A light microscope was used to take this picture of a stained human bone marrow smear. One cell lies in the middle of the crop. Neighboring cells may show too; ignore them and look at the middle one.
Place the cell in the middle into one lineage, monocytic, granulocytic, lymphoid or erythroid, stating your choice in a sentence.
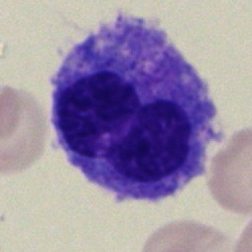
Counted among cells of the monocytic lineage is the central cell.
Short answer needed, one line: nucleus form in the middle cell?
Rather than a single mass, the nucleus forms two or more lobes.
